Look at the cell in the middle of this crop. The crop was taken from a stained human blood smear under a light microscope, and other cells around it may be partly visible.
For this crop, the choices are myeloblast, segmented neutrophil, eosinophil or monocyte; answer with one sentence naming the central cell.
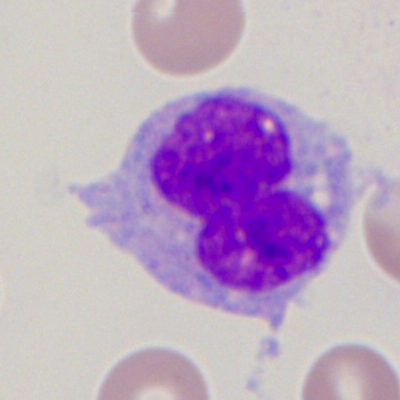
The crop's centre is taken up by a monocyte.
